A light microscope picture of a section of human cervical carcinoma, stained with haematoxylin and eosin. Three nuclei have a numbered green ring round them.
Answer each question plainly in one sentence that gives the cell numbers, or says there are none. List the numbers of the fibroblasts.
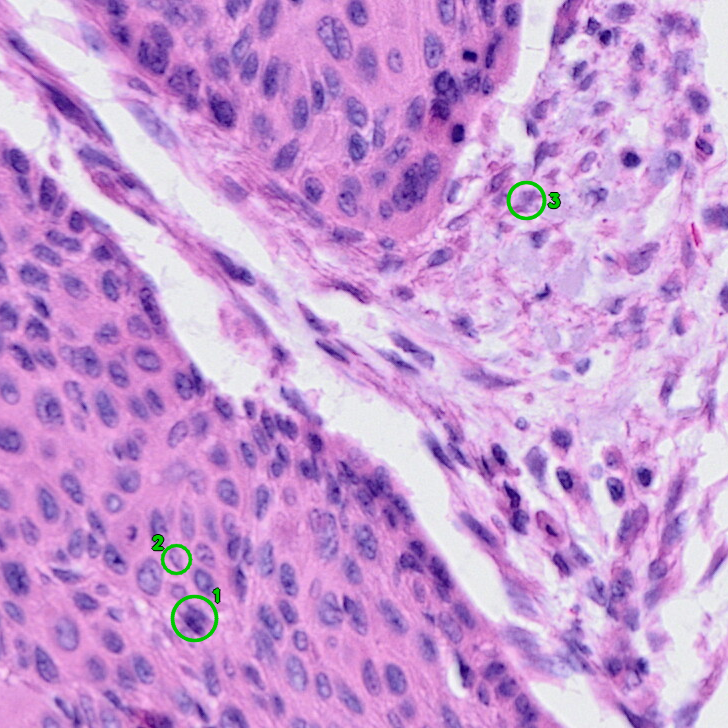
Of all the numbered cells, only cell 3 is a fibroblast.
